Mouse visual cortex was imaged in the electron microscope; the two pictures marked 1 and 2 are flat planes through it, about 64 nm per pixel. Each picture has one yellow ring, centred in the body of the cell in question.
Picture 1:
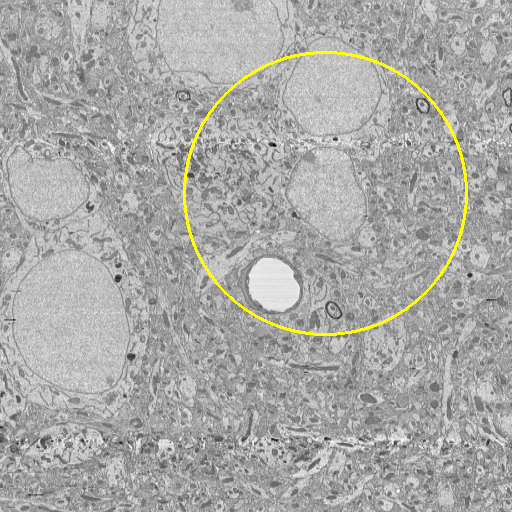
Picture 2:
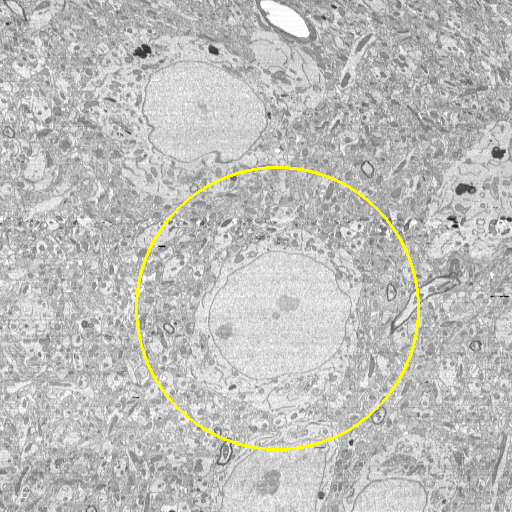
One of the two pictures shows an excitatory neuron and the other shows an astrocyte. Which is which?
In picture 1 the cell is an astrocyte; in picture 2, an excitatory neuron.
